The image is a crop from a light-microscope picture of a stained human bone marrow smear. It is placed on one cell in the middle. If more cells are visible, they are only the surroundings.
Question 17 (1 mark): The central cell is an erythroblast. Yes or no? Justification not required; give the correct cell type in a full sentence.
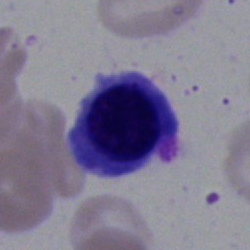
Yes, in the centre of this field sits an erythroblast.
